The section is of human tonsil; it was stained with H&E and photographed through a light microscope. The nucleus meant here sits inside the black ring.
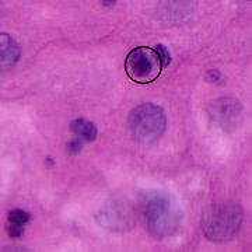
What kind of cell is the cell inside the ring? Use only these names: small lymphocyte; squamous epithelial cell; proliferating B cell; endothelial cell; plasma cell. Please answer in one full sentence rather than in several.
In cellular terms, the cell inside the ring is a squamous epithelial cell.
